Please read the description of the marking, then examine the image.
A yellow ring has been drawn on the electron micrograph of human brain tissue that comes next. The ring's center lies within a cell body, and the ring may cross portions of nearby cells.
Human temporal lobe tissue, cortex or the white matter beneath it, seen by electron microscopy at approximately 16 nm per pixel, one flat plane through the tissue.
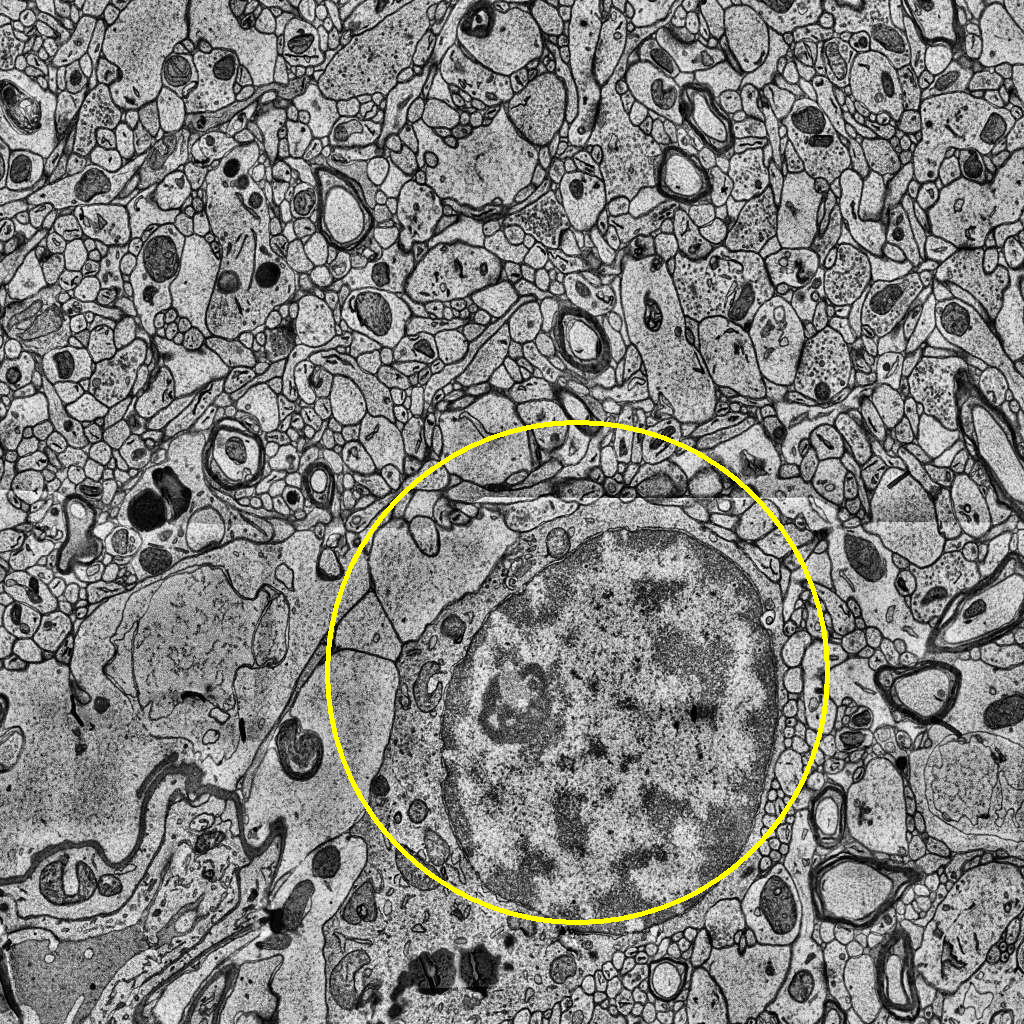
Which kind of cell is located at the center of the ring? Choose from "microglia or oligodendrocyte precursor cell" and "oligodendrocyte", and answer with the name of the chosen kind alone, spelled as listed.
oligodendrocyte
